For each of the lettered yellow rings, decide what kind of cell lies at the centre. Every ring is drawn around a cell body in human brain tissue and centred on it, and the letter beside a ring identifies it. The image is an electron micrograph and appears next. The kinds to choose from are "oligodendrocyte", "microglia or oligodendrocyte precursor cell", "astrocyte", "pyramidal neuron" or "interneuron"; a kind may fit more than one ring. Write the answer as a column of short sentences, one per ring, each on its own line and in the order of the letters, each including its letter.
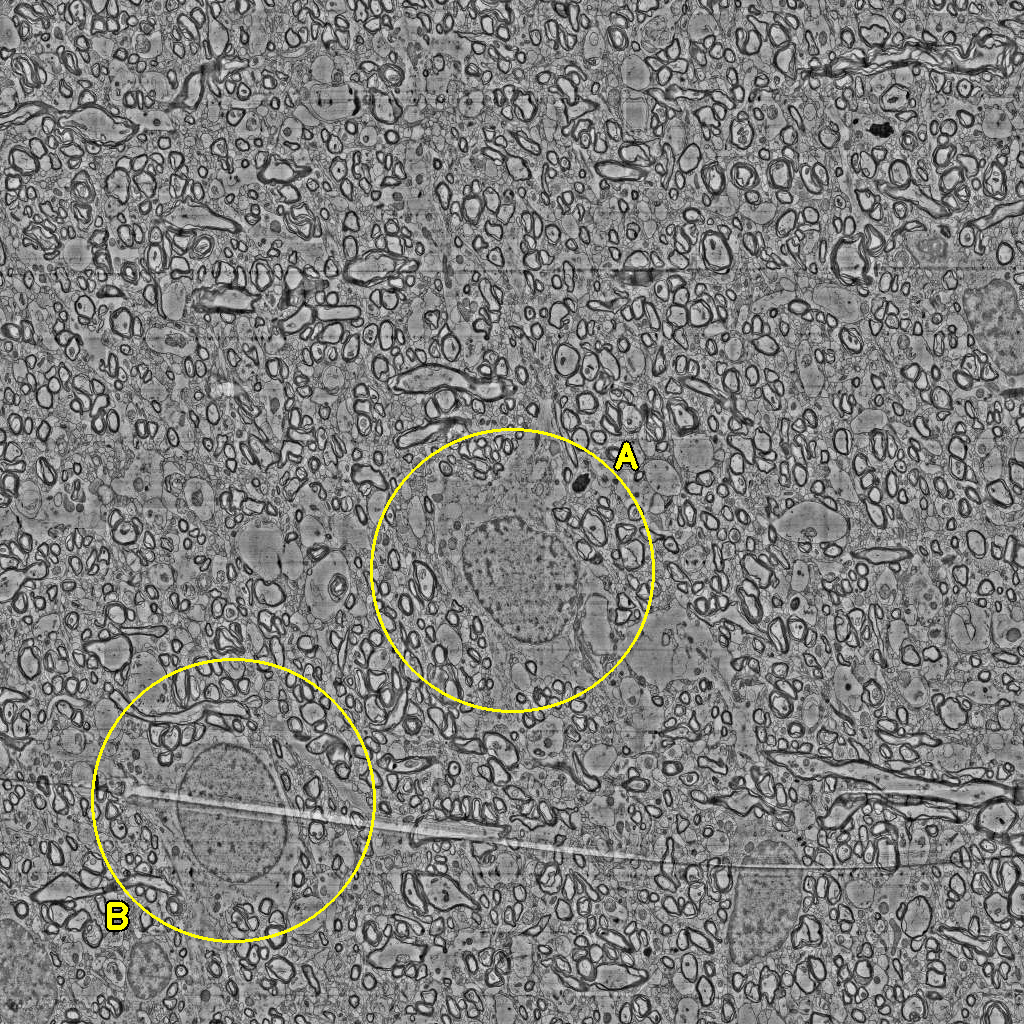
In the centre of ring A lies an astrocyte.
In the centre of ring B lies an astrocyte.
